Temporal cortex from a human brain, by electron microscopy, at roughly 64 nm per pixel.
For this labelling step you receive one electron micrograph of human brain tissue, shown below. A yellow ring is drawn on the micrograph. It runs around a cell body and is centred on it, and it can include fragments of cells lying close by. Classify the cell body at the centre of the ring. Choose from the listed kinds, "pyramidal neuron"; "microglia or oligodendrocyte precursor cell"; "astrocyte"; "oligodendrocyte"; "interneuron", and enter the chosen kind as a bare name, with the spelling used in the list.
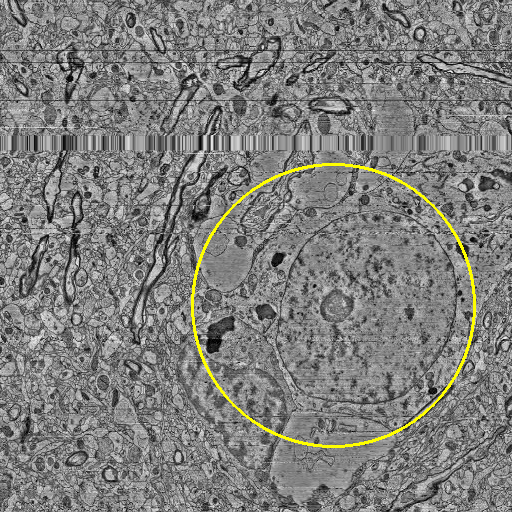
pyramidal neuron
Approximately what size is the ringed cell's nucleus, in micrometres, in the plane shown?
In this plane the nucleus measures roughly 13 by 11 micrometres.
